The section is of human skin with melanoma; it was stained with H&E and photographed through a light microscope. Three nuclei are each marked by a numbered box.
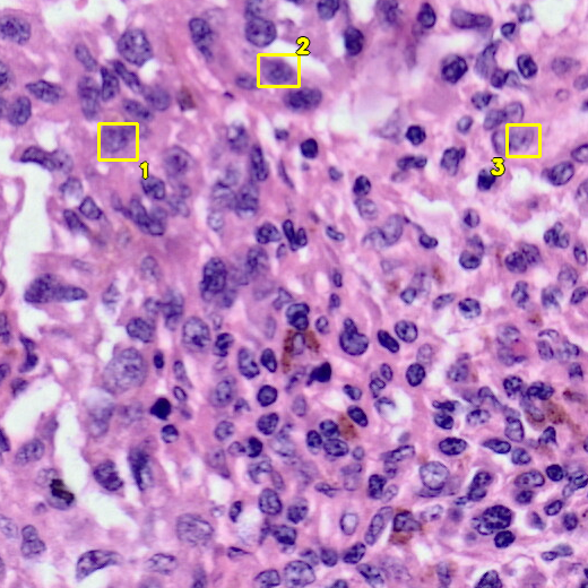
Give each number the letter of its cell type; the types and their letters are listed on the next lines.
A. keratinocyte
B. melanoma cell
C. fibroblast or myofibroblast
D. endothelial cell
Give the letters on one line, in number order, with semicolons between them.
B; B; D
